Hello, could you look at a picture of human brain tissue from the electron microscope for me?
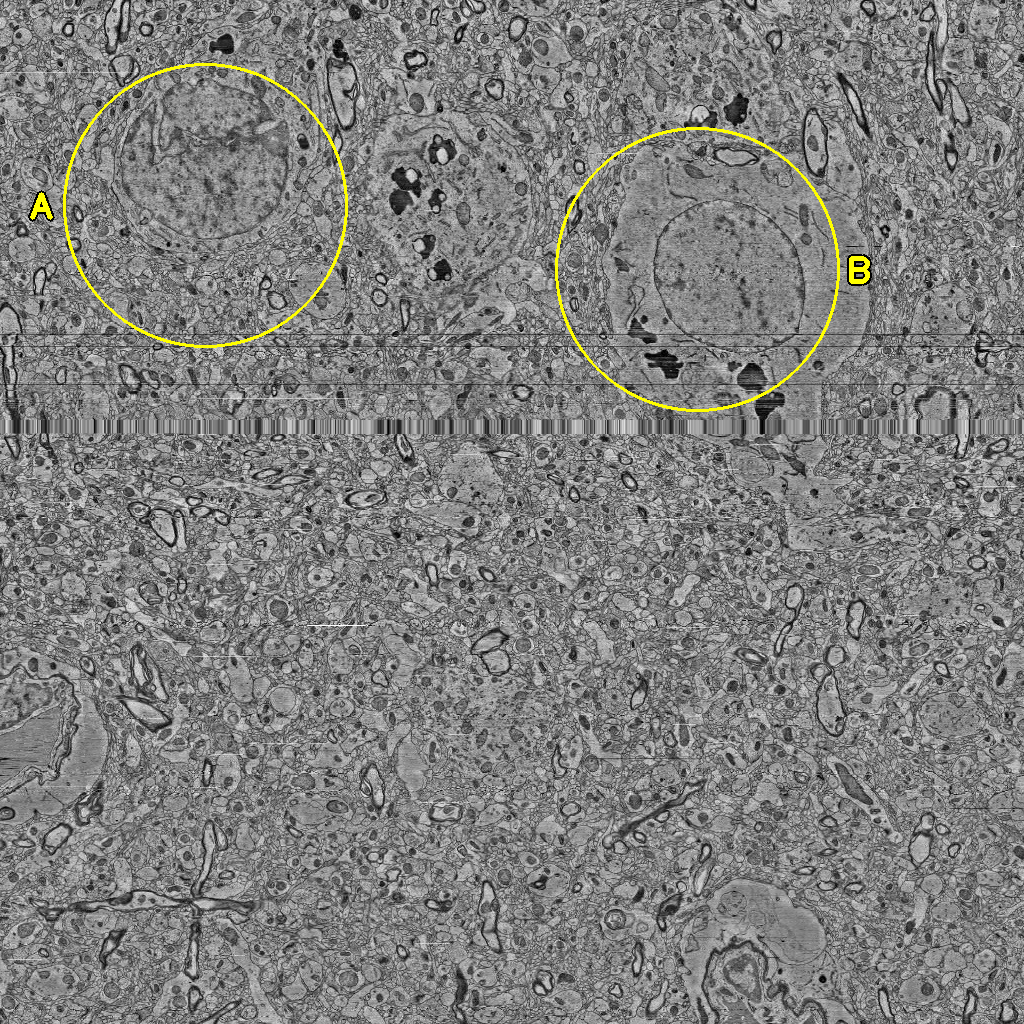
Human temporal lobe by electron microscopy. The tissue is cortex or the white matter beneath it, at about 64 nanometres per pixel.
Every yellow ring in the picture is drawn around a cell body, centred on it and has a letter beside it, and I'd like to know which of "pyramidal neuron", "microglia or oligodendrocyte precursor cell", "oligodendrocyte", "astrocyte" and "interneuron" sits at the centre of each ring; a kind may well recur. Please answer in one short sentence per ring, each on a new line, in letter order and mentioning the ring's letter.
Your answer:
The cell sitting at the centre of ring A is an interneuron.
The cell sitting at the centre of ring B is an astrocyte.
